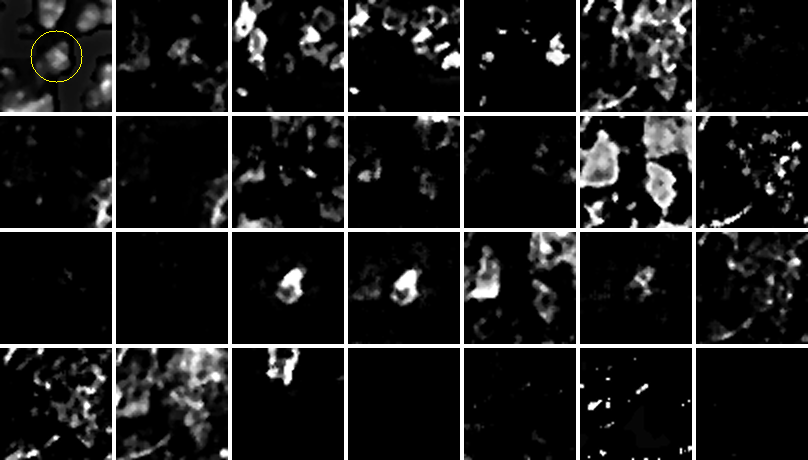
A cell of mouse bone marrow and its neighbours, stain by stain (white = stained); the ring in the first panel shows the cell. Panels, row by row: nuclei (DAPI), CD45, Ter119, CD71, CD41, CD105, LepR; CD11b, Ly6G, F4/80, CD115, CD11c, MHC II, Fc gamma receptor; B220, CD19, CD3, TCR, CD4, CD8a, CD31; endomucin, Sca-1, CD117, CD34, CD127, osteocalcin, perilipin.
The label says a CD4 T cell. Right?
Wrong: this is a double-negative T cell.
